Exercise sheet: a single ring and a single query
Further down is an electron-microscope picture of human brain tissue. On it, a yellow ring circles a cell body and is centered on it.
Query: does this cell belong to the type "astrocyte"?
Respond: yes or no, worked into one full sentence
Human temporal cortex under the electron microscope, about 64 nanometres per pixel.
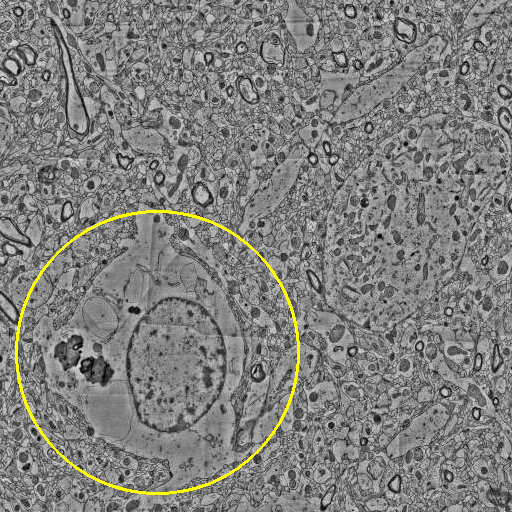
Yes, this ringed cell, found at the center of the ring in the picture, is of that type.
